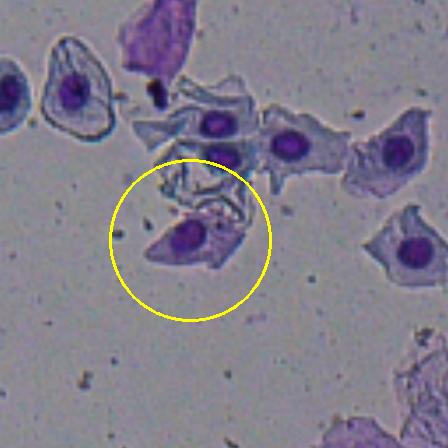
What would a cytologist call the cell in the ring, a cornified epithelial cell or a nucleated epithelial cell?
A cytologist would call it a nucleated epithelial cell.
